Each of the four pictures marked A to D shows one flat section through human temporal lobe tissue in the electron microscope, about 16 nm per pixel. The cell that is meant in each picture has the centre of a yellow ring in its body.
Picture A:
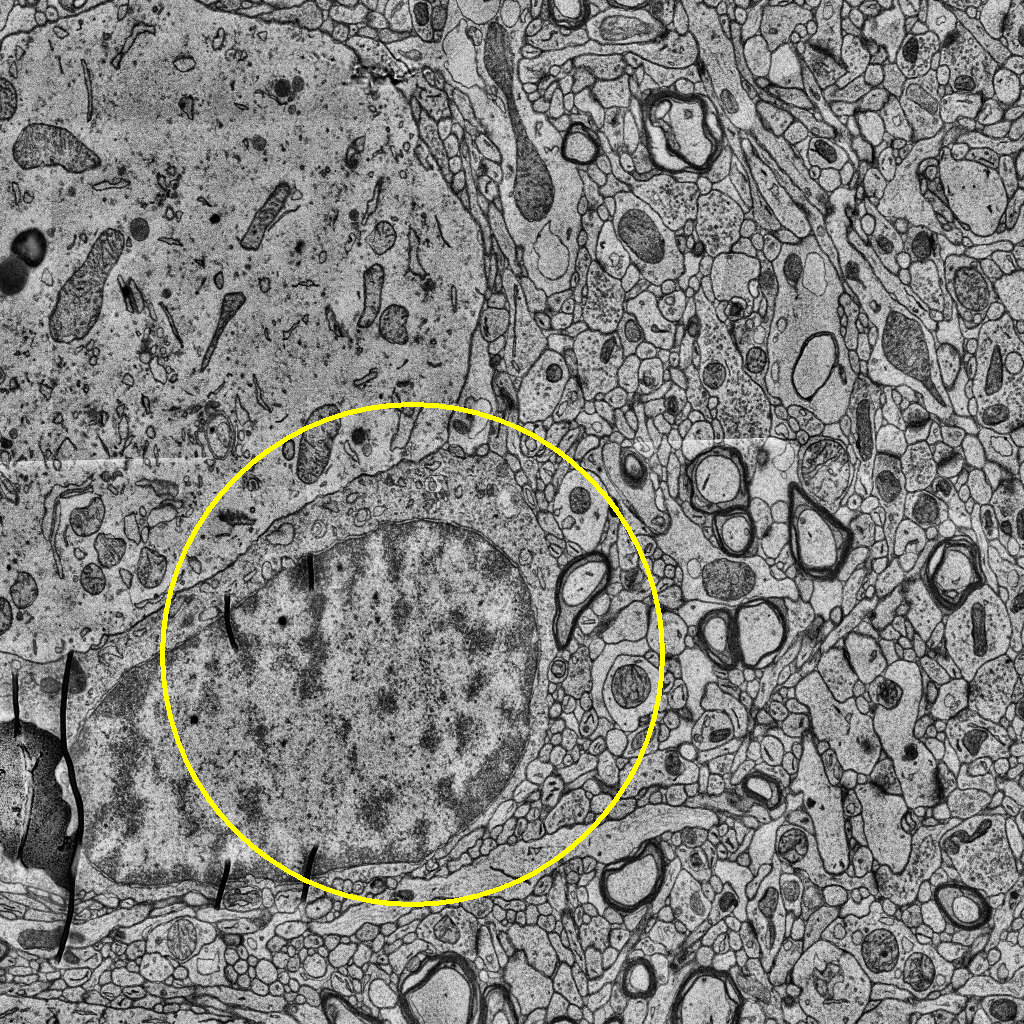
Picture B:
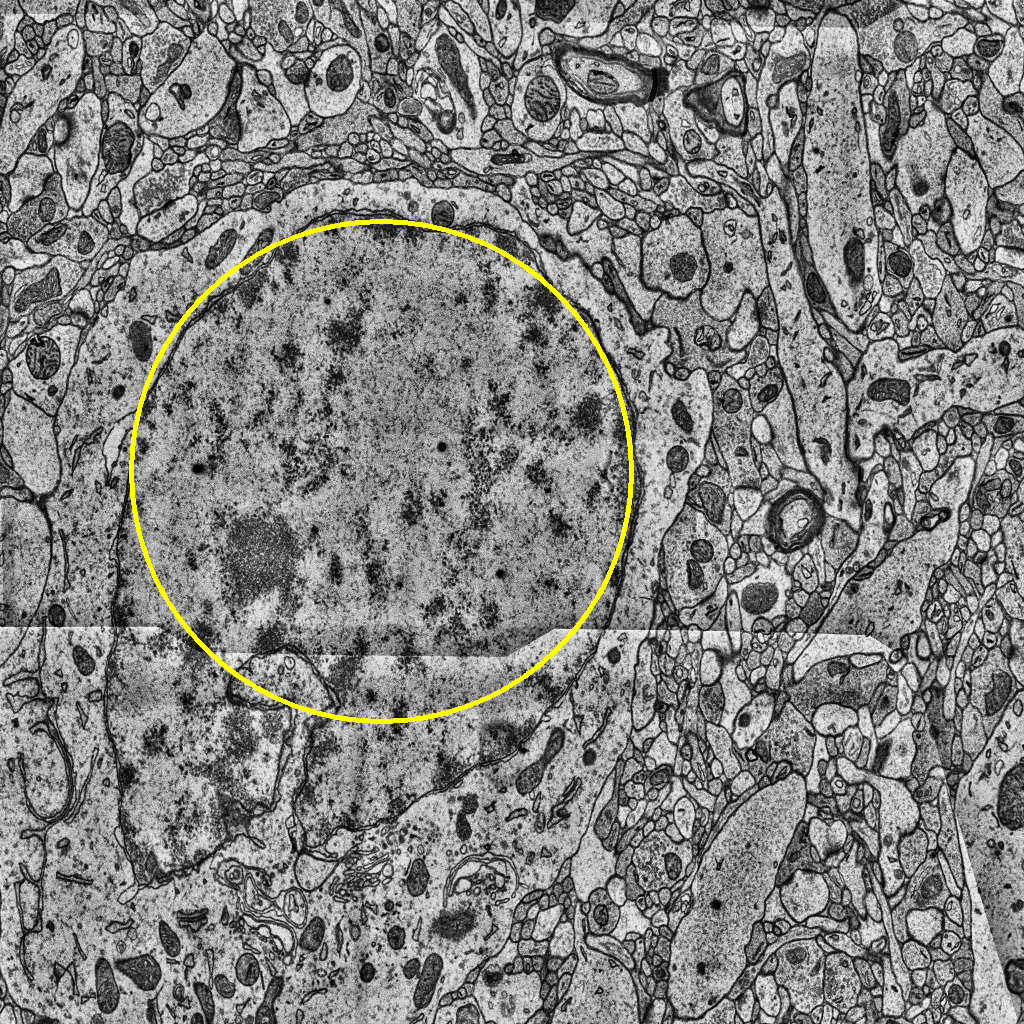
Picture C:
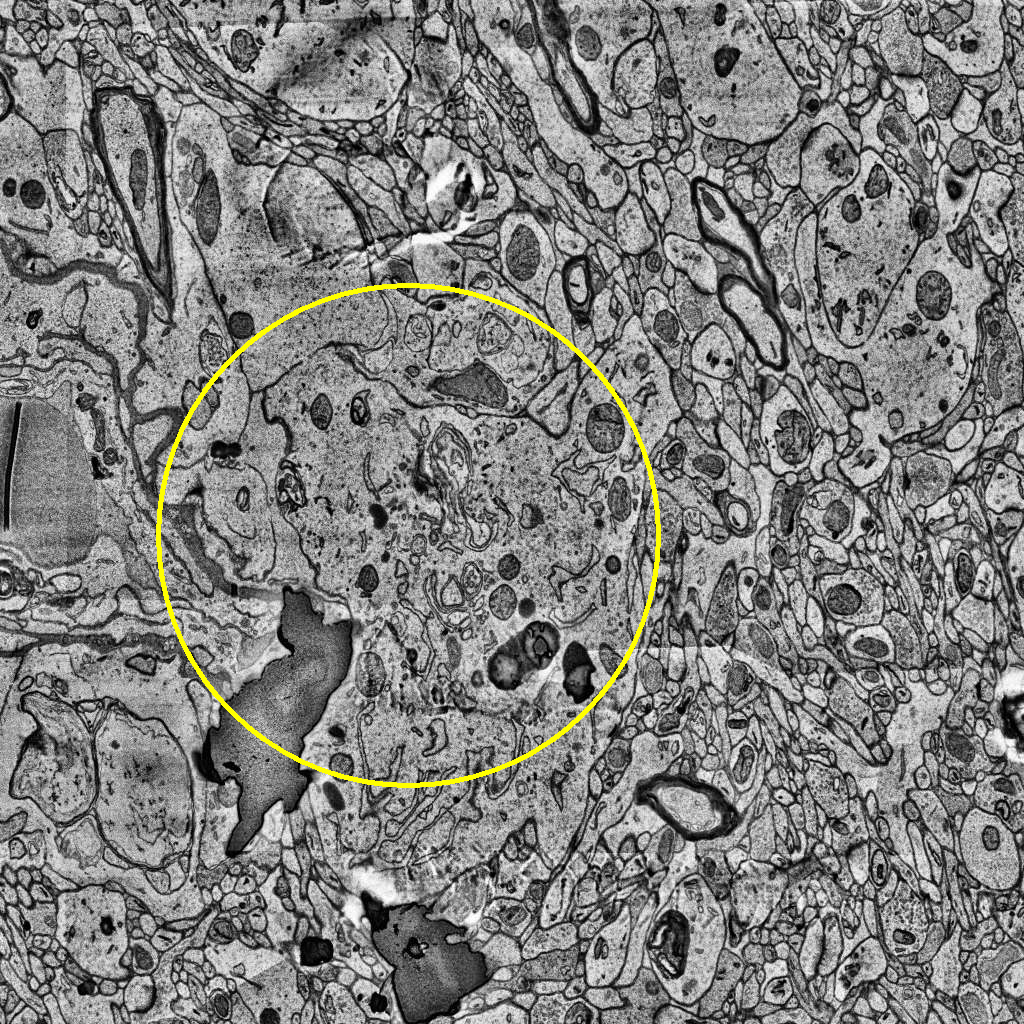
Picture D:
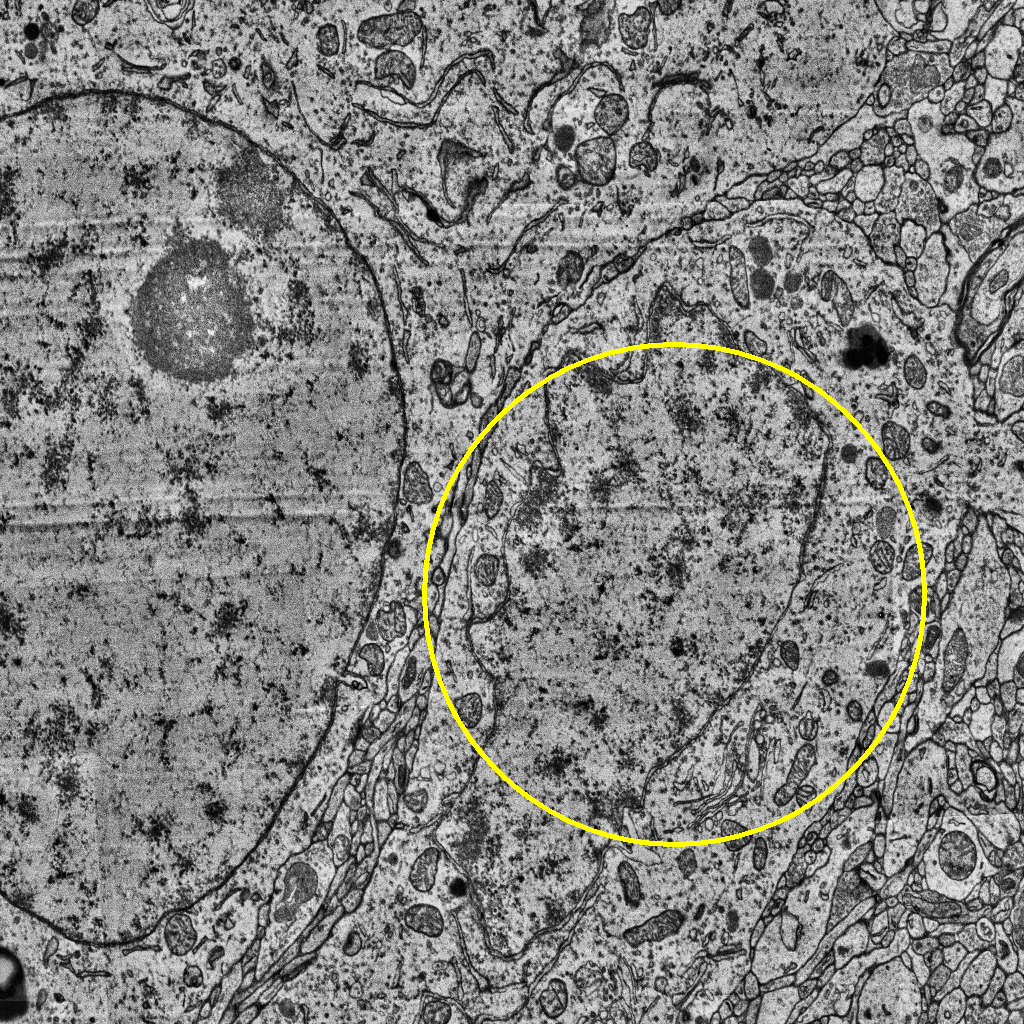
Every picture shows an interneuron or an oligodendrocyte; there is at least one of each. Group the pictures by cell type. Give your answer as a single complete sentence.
Pictures B, C and D show interneurons; picture A shows an oligodendrocyte.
